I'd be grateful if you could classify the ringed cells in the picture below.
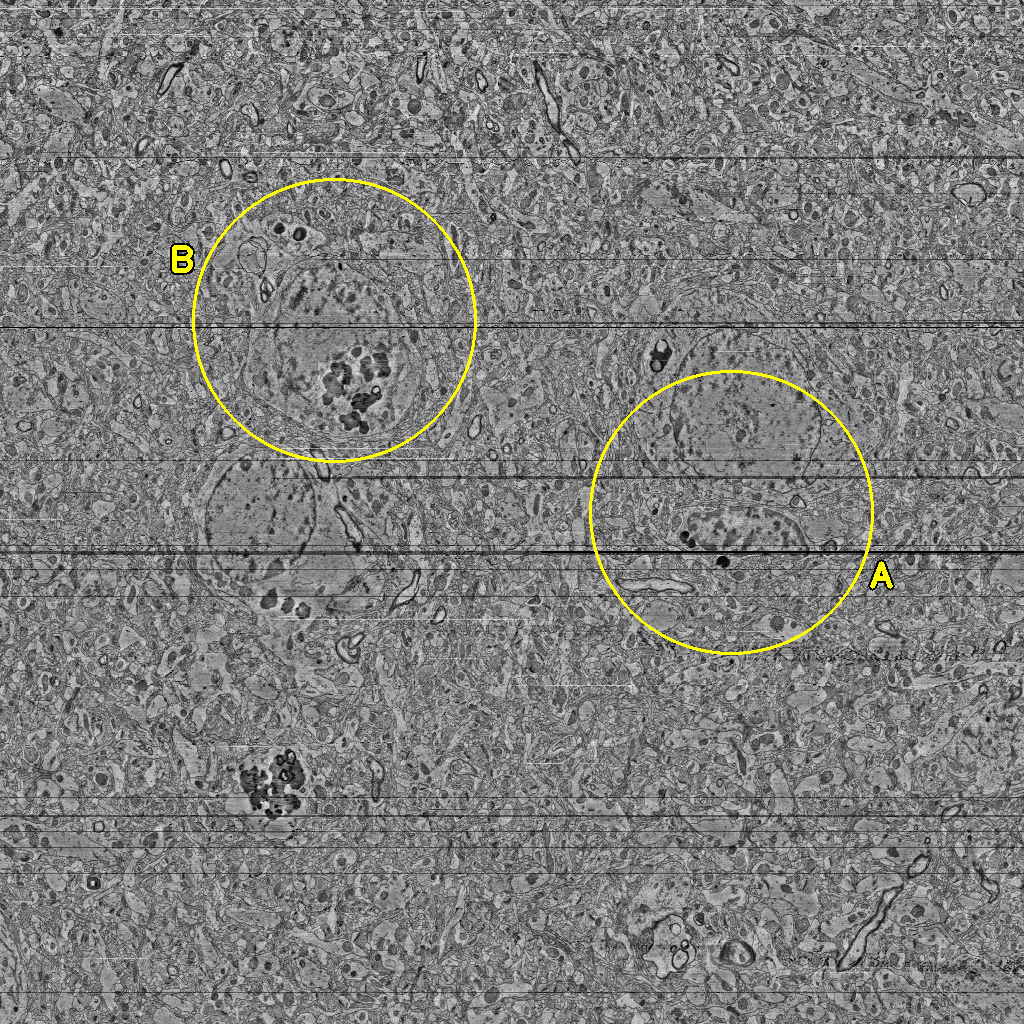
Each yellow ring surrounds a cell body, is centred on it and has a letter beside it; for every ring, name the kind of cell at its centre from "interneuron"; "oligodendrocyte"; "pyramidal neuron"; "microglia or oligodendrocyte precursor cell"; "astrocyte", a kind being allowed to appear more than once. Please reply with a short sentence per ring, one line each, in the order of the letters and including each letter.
In ring A we have a microglial cell or oligodendrocyte precursor cell.
In ring B we have an interneuron.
